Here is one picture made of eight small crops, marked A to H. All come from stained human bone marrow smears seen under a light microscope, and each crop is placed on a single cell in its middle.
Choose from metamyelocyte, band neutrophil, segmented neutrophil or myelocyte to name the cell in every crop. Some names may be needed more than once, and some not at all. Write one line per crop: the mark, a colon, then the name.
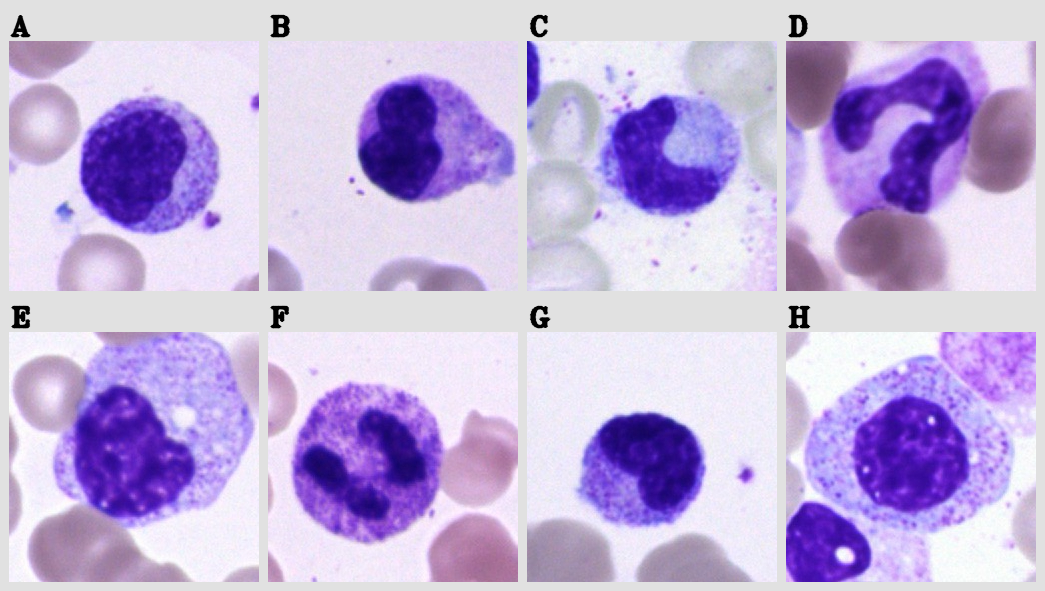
A: myelocyte
B: metamyelocyte
C: band neutrophil
D: band neutrophil
E: myelocyte
F: segmented neutrophil
G: metamyelocyte
H: myelocyte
